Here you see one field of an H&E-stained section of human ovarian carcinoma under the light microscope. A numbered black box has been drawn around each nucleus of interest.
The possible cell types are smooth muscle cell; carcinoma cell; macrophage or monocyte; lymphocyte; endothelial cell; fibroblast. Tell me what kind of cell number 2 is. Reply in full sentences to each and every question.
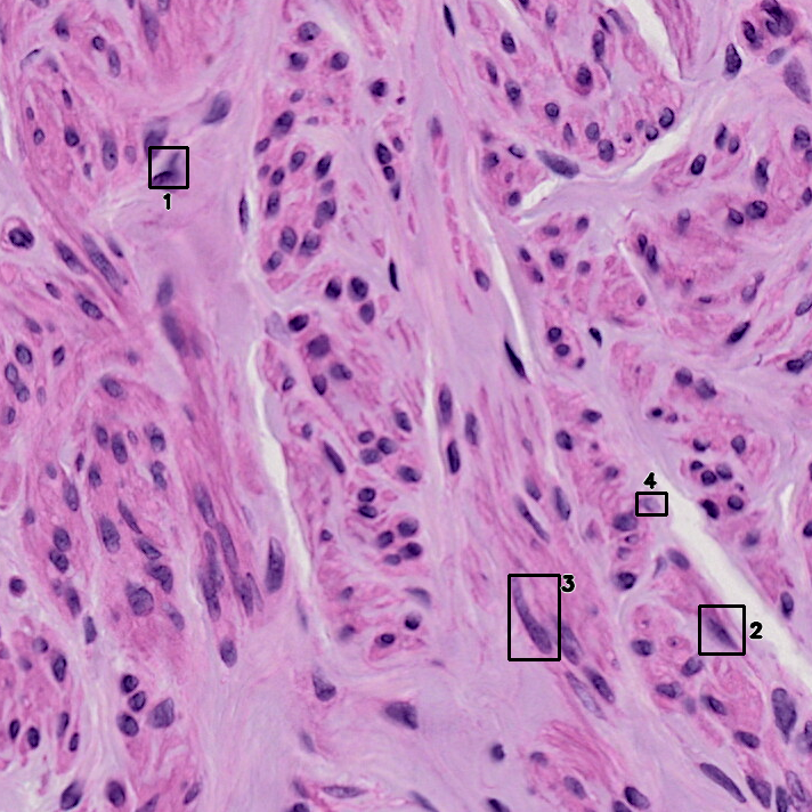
In this section, the cell numbered 2 is a smooth muscle cell.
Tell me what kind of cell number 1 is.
The cell marked with number 1 is a fibroblast.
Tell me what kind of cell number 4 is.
Cell 4, among those numbered, is a smooth muscle cell.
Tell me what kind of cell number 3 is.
The cell that is numbered 3 is a smooth muscle cell.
